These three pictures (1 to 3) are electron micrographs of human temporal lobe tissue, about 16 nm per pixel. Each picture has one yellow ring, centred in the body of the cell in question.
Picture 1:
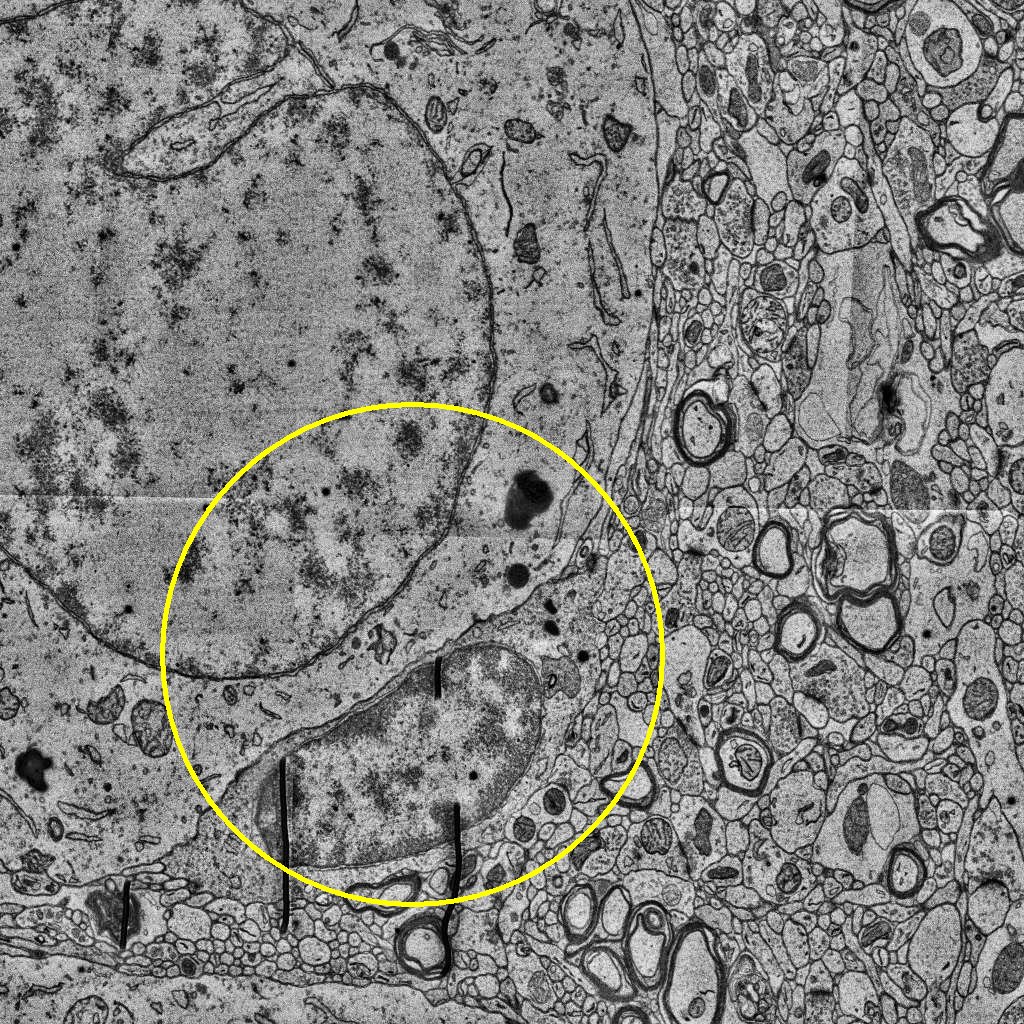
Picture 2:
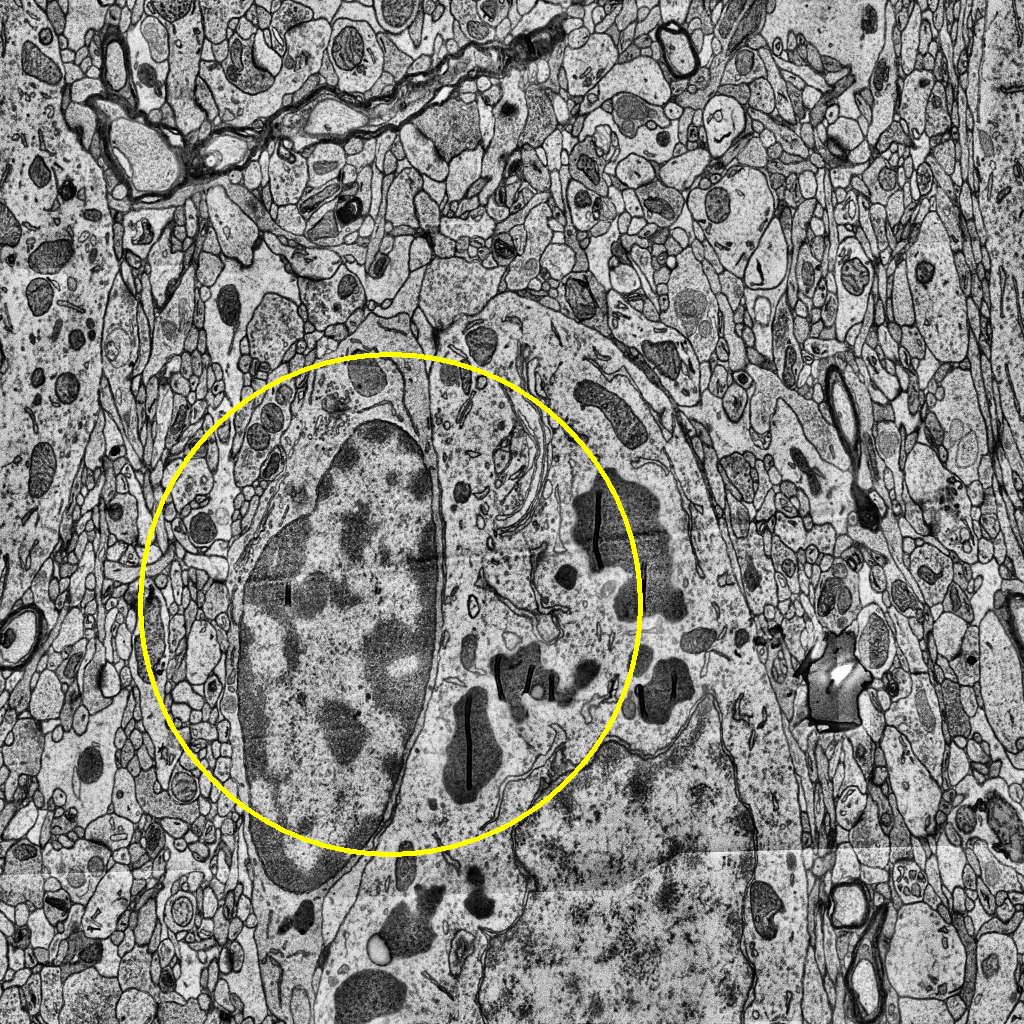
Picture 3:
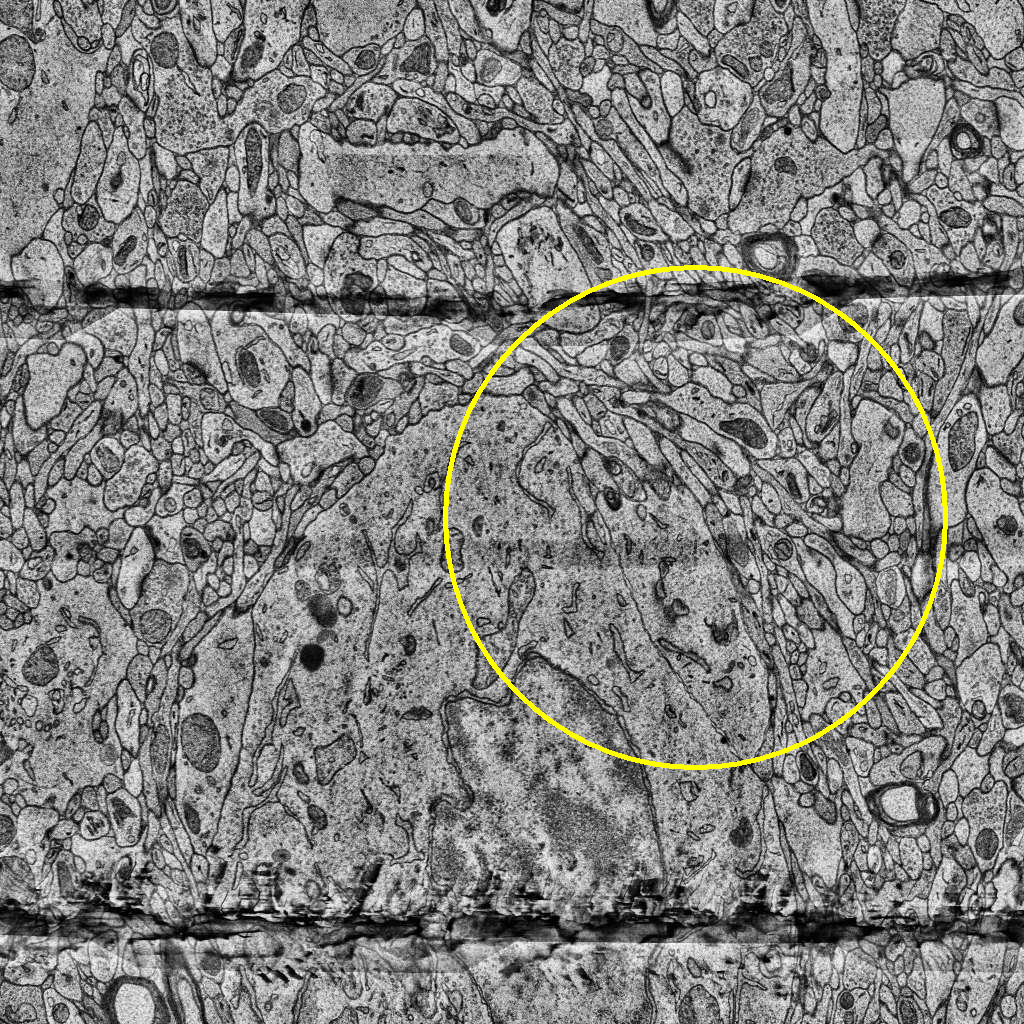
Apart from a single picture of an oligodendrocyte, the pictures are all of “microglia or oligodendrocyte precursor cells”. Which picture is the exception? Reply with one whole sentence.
The cell in picture 1 is the oligodendrocyte.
